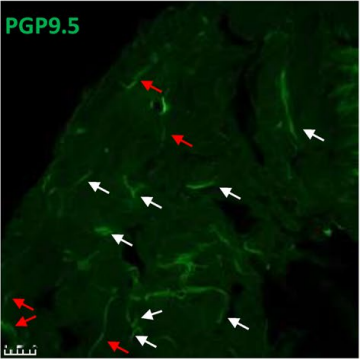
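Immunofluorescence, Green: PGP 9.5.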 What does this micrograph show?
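Here the field shows connective tissue, an irregular, loosely textured meshwork with a faint green background. Running through it are numerous thin, bright green, wavy threads, some long and branching, which are nerve fibers coursing within the connective tissue.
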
